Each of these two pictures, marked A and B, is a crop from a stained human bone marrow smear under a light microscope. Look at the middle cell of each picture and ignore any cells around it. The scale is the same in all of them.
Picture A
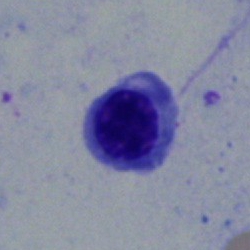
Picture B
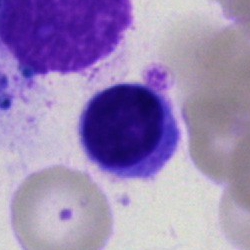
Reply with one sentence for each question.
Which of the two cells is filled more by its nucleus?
It is the cell in picture B that is filled more by its nucleus.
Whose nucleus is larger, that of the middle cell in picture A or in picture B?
The nucleus in picture B is larger, with about 1.5 times the area of the one in picture A.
